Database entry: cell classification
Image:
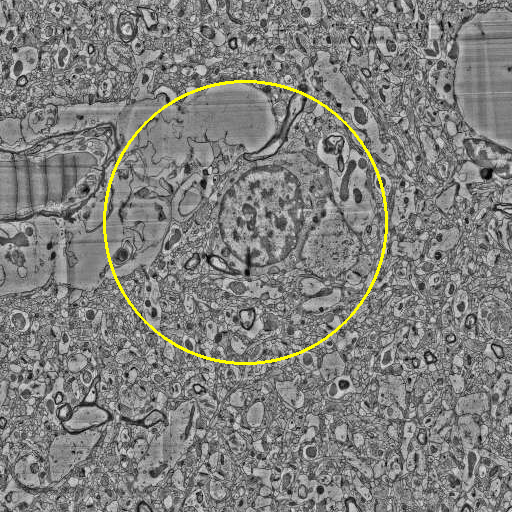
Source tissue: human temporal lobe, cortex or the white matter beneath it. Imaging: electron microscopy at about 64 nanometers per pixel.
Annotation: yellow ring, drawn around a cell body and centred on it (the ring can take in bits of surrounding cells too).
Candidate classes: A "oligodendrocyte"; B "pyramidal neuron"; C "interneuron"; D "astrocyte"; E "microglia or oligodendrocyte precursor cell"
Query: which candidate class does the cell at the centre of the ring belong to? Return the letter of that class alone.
A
